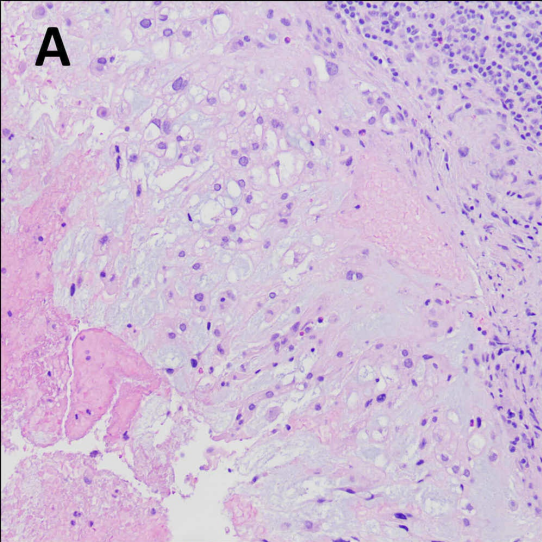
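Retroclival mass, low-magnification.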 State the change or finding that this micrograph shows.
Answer: Lymphocytic infiltrates.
